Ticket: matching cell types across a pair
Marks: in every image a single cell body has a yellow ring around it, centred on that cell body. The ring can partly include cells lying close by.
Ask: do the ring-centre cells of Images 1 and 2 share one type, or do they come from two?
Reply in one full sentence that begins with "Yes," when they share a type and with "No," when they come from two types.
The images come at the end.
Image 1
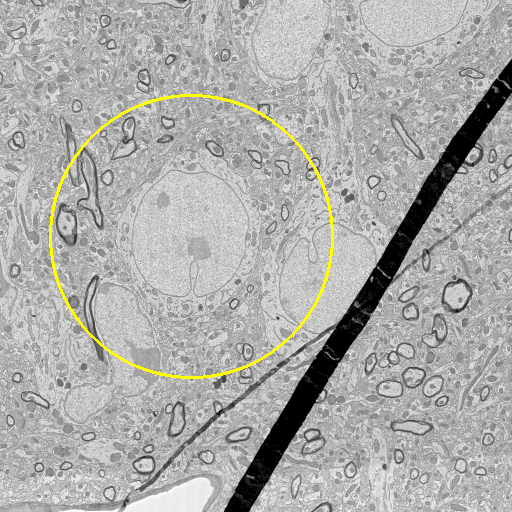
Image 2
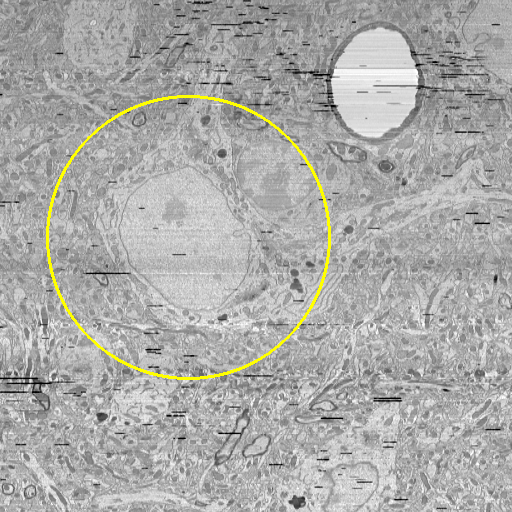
No, the cells in the centres of the rings in Image 1 and Image 2 come from two types.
